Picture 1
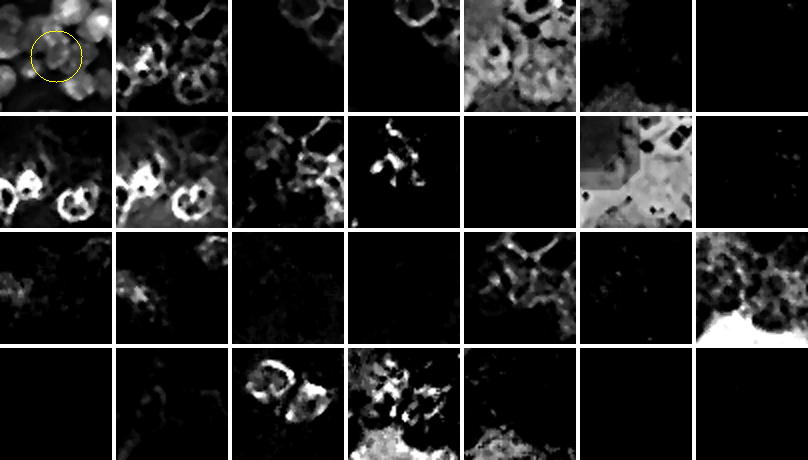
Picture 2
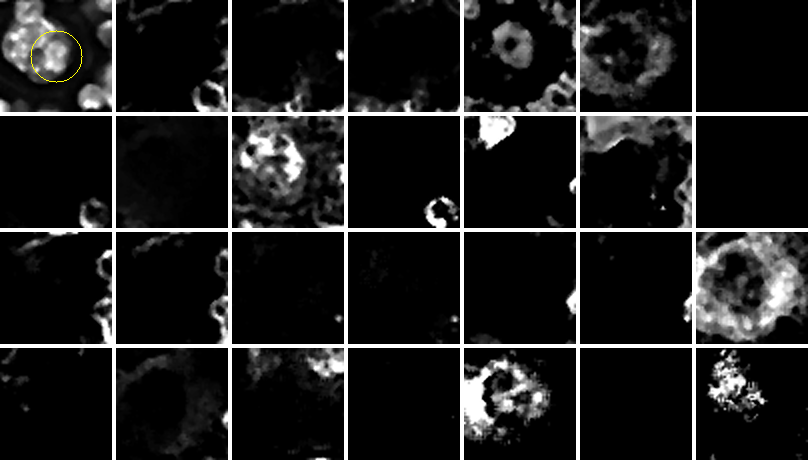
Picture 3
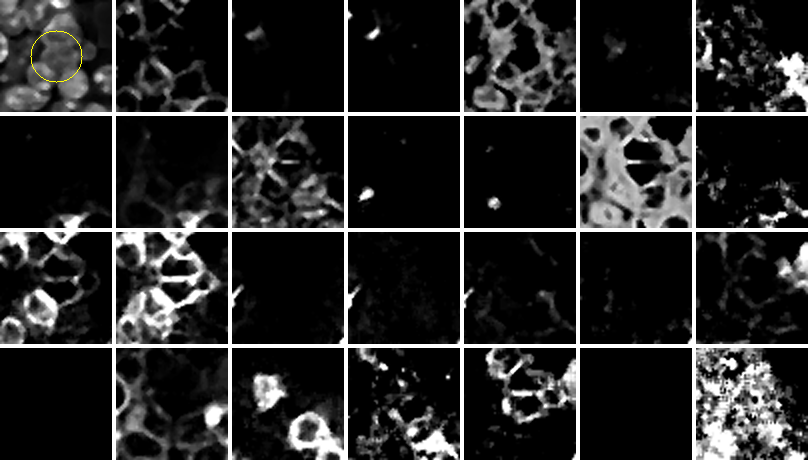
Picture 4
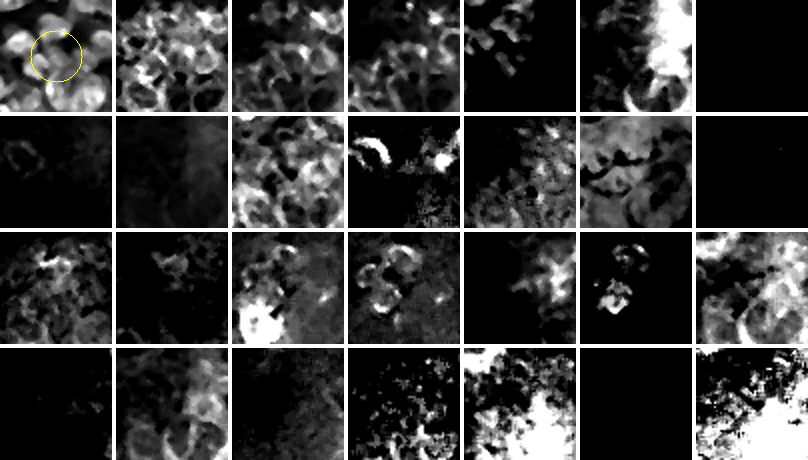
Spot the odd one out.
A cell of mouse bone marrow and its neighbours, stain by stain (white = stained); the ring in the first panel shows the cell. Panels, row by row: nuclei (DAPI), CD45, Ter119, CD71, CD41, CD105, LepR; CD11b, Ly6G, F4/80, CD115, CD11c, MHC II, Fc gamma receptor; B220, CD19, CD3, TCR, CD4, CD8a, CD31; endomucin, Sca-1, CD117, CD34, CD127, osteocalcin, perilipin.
Picture 1 (a megakaryocyte progenitor among common lymphoid progenitors).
